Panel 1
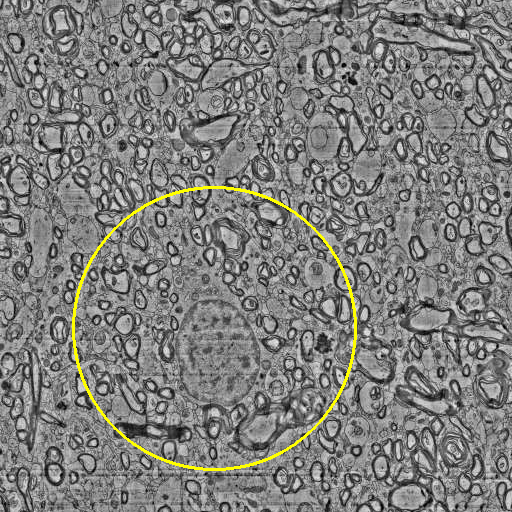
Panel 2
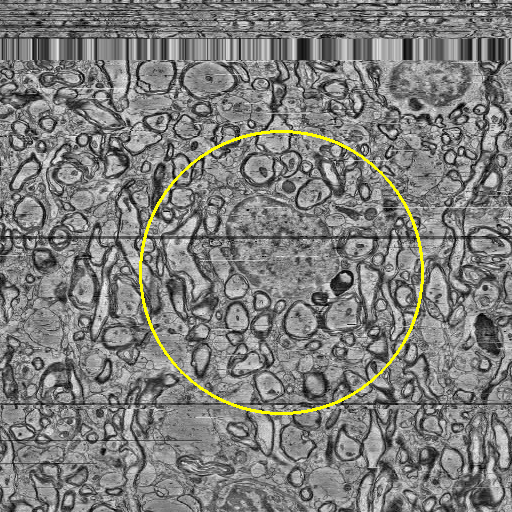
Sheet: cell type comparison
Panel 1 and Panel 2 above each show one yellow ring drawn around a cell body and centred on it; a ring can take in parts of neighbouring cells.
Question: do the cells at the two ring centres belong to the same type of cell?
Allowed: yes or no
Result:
yes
